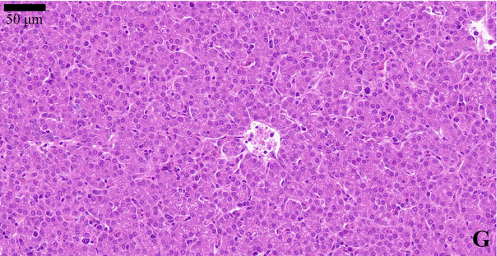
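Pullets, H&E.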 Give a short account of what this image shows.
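This is liver tissue made of dense sheets of polygonal hepatocytes with round purple nuclei and pink cytoplasm. The cells are arranged in cords that run toward a small central vessel containing a few cells. Narrow pale spaces, the sinusoids, run between the cords of cells. The tissue looks uniform across the field, without clusters of small dark cells.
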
